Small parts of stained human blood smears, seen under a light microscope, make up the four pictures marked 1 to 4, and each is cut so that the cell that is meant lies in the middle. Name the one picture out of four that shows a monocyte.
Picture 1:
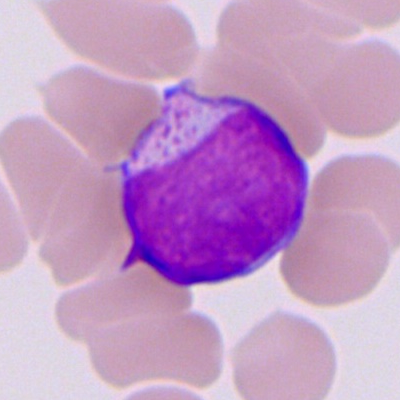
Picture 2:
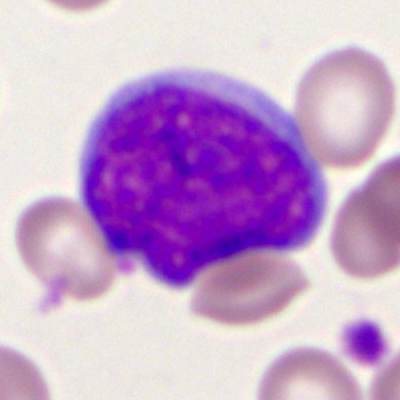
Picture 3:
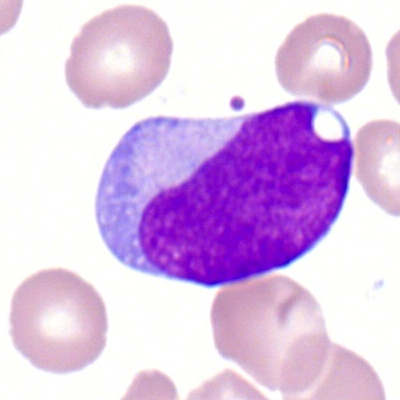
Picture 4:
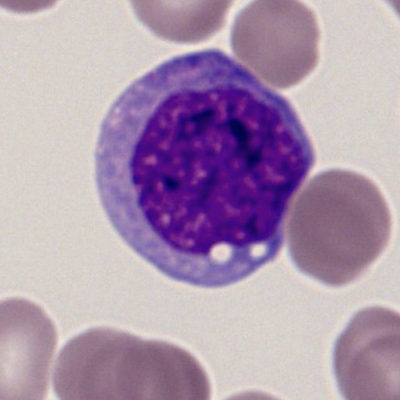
4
